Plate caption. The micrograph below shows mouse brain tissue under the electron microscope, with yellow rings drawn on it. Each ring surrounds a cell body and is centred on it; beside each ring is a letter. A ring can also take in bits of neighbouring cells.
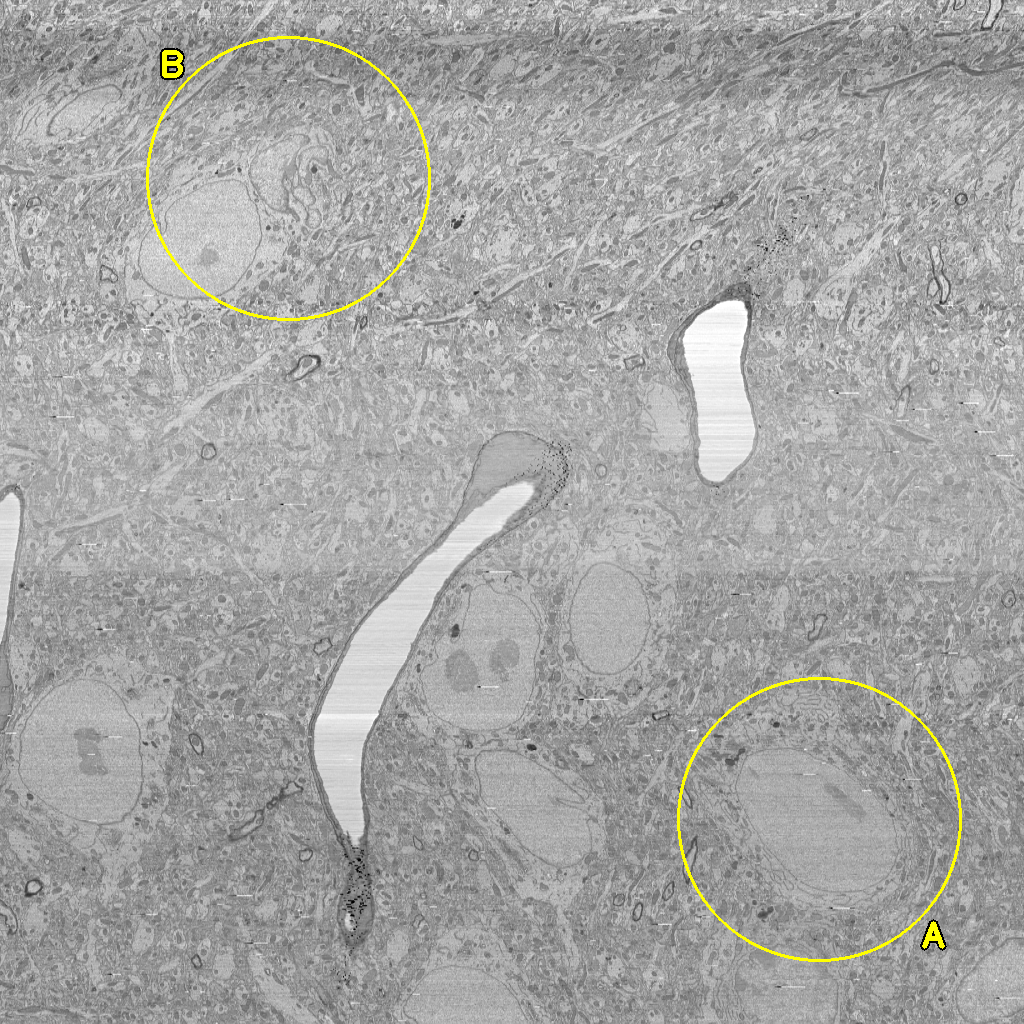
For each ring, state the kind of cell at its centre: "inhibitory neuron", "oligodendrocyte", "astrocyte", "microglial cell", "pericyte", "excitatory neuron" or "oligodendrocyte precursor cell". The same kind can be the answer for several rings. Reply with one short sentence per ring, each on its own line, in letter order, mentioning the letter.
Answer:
Ring A is drawn around an excitatory neuron.
Ring B is drawn around an oligodendrocyte precursor cell.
